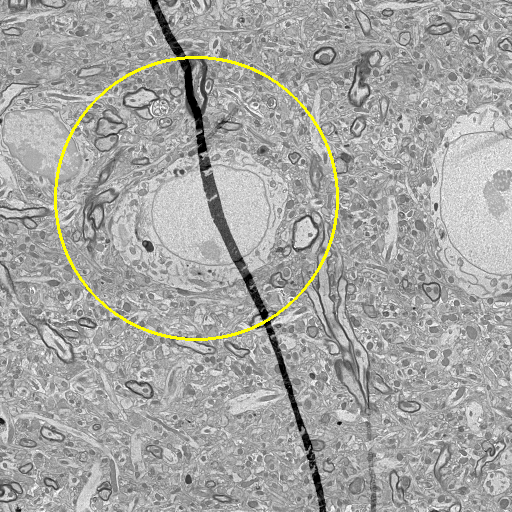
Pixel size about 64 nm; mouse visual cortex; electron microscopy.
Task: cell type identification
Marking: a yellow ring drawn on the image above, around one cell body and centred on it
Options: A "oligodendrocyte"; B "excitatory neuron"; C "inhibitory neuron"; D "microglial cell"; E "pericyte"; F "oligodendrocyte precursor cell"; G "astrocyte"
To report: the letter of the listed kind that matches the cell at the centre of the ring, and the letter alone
B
